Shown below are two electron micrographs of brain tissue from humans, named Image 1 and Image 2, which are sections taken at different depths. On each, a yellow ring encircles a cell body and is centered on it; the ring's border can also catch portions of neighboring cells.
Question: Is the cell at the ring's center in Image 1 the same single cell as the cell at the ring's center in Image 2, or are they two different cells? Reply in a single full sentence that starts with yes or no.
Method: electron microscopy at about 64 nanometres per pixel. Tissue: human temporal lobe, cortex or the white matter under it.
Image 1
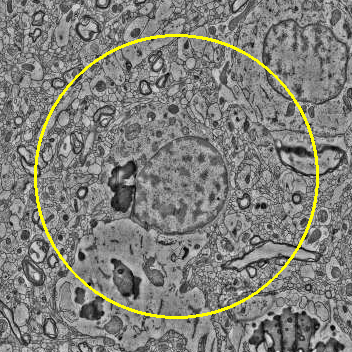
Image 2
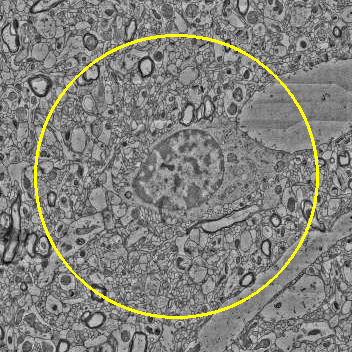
No, the rings surround different cells rather than one cell.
